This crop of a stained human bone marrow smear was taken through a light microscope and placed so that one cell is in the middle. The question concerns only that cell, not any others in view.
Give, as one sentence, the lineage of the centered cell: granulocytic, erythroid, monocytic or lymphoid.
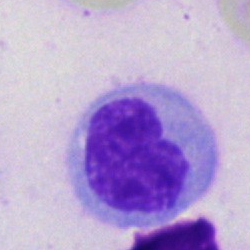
The cell in the middle is allocated to the monocytic lineage.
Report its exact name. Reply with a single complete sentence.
The central cell, amid any neighbouring cells, is a monocyte.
